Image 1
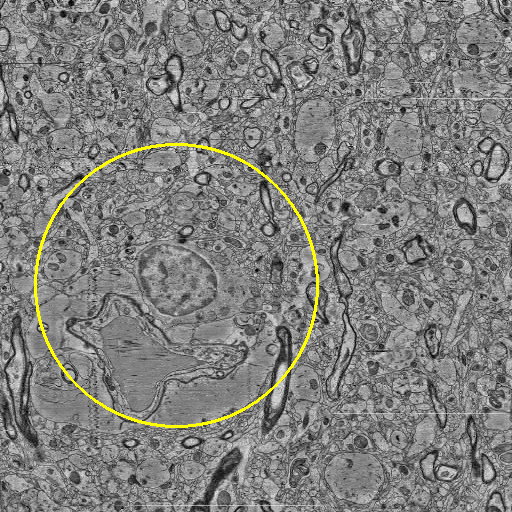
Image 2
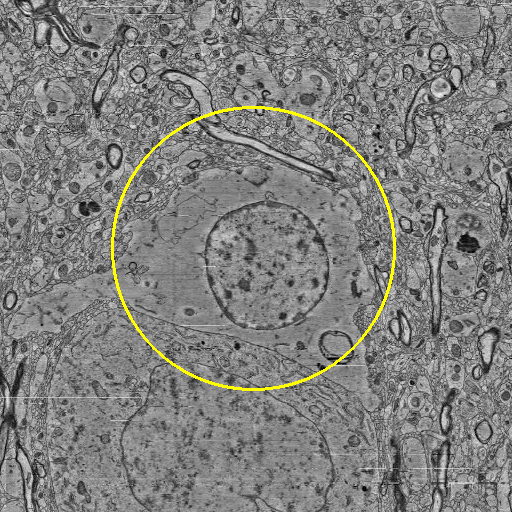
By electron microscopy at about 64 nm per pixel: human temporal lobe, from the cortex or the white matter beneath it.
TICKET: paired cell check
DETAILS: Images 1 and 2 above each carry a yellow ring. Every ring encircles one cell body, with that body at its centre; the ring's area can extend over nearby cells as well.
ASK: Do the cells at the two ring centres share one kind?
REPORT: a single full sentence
No, the ring-centre cells of Images 1 and 2 belong to two kinds.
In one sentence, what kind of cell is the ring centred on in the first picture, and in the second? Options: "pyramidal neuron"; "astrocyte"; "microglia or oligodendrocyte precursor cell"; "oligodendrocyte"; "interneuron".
The cell at the centre of the second ring is an astrocyte; the first ring's cell is an oligodendrocyte.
